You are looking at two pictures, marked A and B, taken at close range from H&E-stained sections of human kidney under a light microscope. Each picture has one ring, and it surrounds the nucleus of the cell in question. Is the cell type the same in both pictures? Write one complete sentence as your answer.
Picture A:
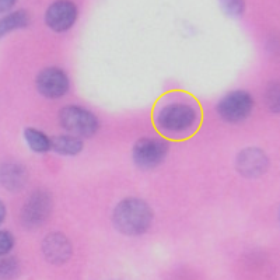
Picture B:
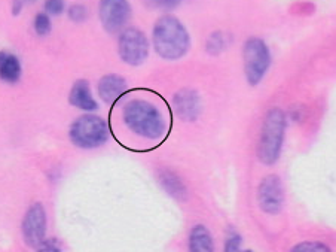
No, the types are not the same, since picture A shows a “loop of Henle or distal tubule cell” and picture B a collecting duct cell.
